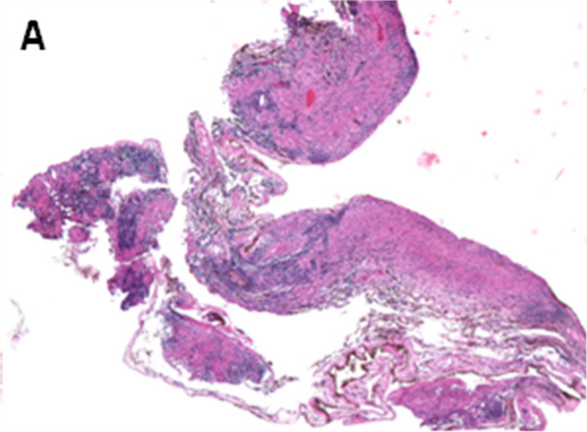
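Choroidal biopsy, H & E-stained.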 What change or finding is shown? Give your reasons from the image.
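Diffuse inflammation. Several tissue fragments at low power. Dense dark purple cellular infiltrate spreads widely through the fragments.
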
